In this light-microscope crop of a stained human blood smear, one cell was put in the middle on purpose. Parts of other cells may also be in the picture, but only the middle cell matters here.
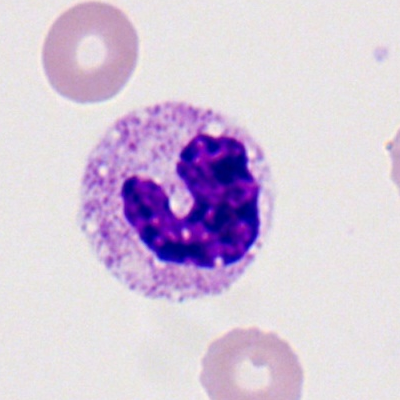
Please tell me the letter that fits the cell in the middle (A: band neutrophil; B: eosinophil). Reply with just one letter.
A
